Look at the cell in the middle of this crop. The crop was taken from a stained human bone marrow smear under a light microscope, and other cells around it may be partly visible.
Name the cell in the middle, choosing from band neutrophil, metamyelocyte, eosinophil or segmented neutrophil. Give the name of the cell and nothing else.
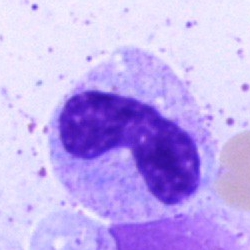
band neutrophil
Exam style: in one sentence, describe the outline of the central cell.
The outline traces a smooth curve with no projections along it.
